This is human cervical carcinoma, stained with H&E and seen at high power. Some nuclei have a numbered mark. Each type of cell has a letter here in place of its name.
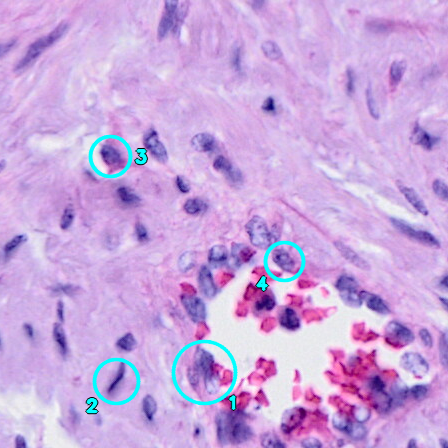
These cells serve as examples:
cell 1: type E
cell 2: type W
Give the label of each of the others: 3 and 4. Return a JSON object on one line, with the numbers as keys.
{"3": "type E", "4": "type E"}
